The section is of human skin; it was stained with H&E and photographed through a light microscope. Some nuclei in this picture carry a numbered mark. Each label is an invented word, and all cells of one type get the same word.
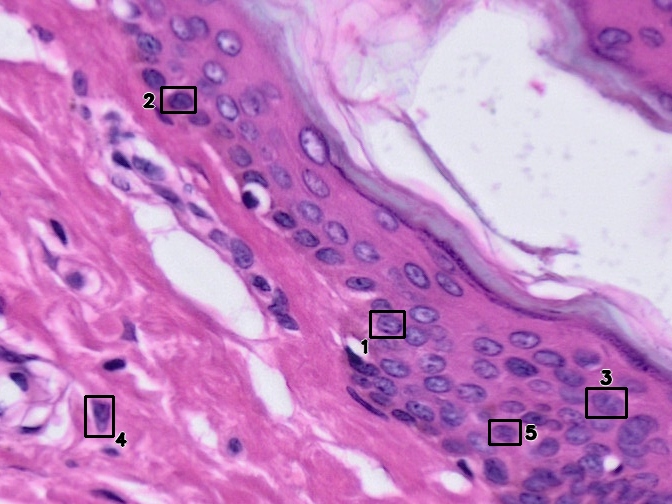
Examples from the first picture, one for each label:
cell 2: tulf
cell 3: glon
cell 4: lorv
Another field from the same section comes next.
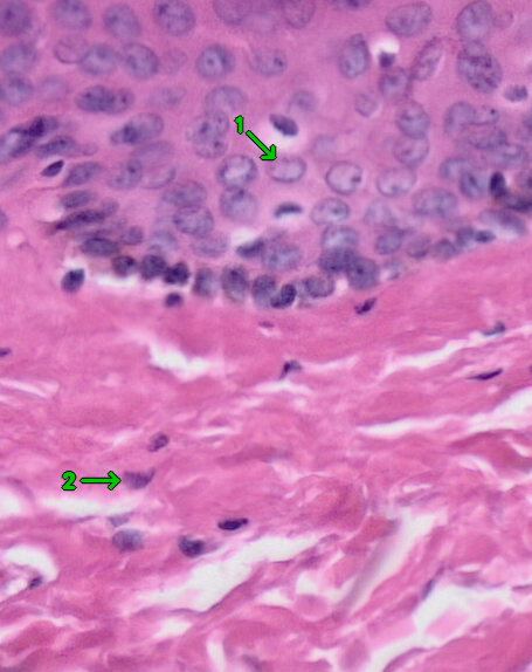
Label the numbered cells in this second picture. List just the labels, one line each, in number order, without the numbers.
glon
lorv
